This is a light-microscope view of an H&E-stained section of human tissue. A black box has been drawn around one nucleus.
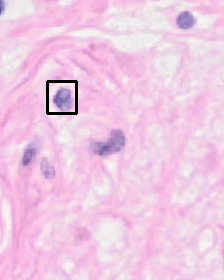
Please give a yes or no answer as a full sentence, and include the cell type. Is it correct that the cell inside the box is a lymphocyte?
Yes, the cell inside the box in this field is a lymphocyte.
